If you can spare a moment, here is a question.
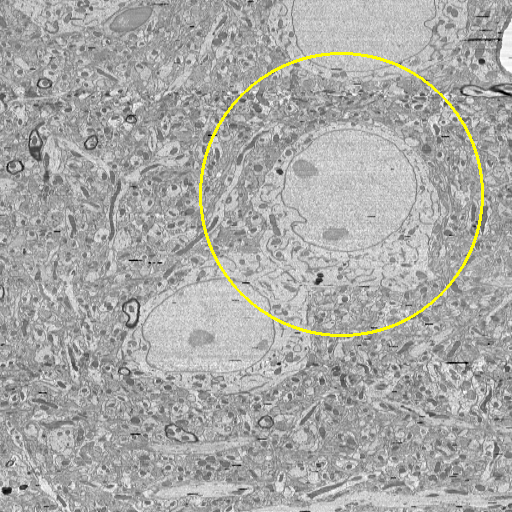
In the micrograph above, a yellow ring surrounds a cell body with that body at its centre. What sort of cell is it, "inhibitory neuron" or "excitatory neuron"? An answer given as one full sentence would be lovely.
Centred inside the yellow ring, the cell body shown belongs to an excitatory neuron in this micrograph.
